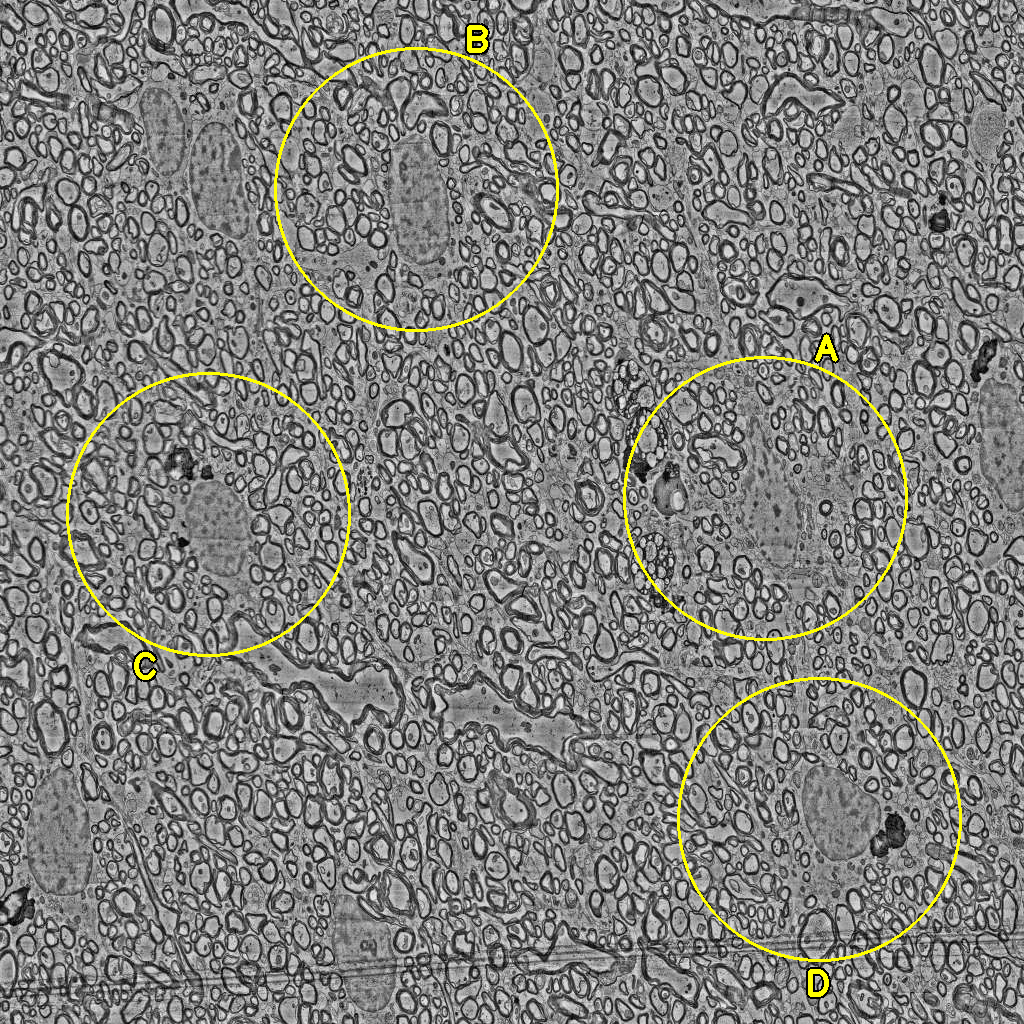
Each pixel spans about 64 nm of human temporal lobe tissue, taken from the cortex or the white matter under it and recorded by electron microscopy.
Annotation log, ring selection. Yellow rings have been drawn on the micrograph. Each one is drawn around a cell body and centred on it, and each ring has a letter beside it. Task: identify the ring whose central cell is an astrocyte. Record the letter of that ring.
A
